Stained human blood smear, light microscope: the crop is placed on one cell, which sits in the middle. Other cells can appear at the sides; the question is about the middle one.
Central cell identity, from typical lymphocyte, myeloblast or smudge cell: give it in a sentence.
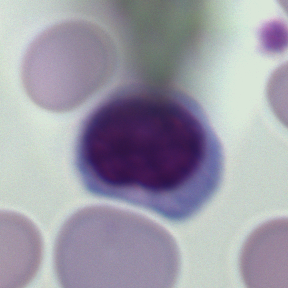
Here the cell in the middle is a typical lymphocyte.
